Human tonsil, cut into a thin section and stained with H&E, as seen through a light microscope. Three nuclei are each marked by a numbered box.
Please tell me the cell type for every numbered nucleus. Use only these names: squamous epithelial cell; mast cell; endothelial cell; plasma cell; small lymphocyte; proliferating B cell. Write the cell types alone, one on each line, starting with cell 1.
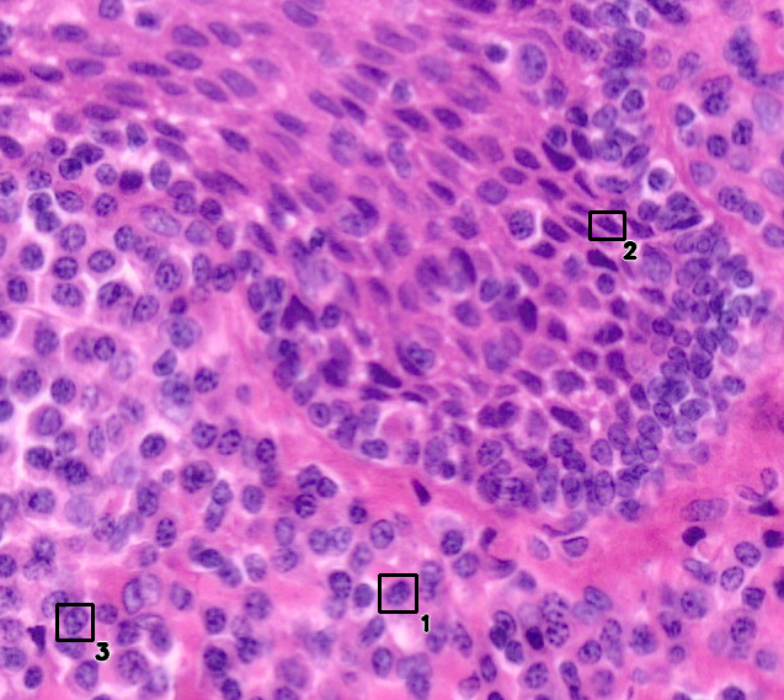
plasma cell
squamous epithelial cell
plasma cell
